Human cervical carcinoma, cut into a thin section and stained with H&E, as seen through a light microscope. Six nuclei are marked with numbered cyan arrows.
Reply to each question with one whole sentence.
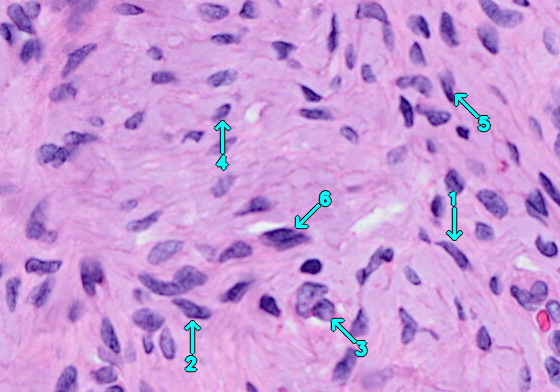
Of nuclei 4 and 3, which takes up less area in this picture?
It is nucleus 4; nucleus 3 has about 2.5 times its area.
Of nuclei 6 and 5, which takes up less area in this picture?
Nucleus 5 covers less area, with nucleus 6 about 2.5 times as large.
